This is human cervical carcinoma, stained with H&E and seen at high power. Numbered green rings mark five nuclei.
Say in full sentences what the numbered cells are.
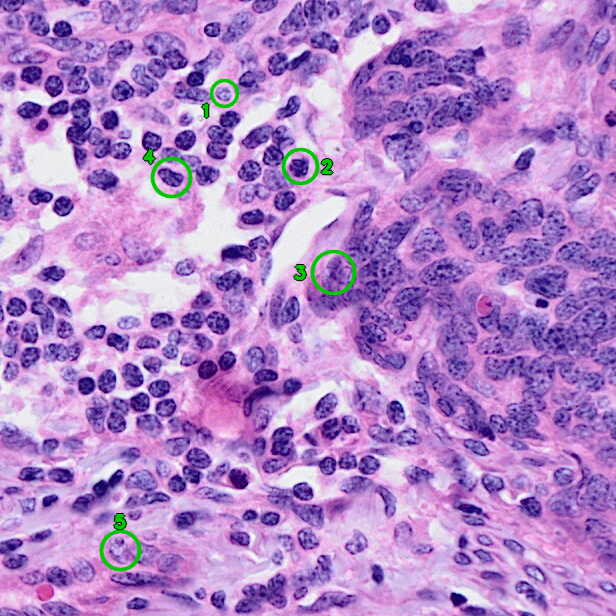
Cell 1 is a lymphocyte, cell 2 is a lymphocyte, cell 3 is a squamous carcinoma cell, cell 4 is a lymphocyte and cell 5 is an endothelial cell.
